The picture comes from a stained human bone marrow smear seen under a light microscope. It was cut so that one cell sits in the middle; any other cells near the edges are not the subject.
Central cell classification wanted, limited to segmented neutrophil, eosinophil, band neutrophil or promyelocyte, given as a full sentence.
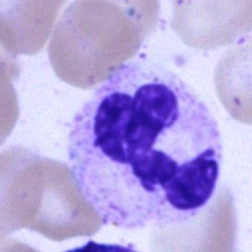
Framed in the middle of the crop is a segmented neutrophil.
